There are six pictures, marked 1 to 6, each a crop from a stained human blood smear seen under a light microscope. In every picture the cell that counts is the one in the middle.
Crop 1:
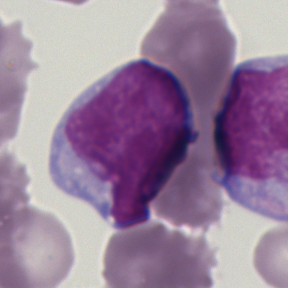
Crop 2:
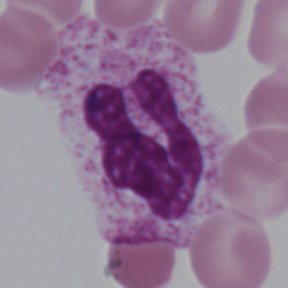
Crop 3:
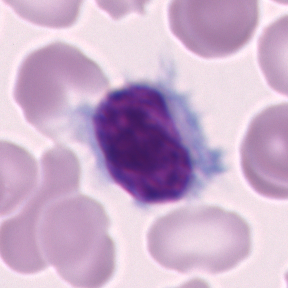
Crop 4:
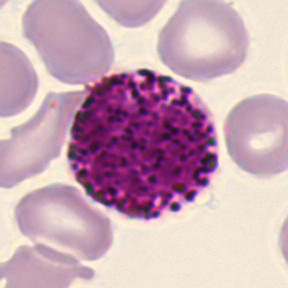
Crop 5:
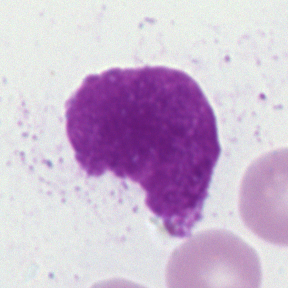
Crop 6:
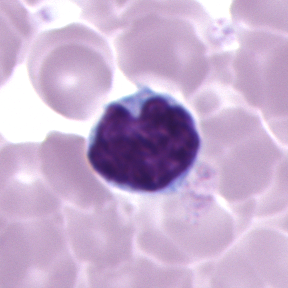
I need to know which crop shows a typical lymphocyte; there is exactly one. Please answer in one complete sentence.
It is crop 6 that shows a typical lymphocyte.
